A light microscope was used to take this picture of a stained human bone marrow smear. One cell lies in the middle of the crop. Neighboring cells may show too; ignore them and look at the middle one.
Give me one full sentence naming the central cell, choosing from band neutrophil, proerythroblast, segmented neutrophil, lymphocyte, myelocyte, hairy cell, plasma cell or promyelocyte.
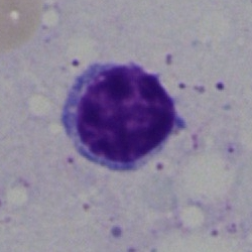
The target cell in the middle of the crop is a lymphocyte.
